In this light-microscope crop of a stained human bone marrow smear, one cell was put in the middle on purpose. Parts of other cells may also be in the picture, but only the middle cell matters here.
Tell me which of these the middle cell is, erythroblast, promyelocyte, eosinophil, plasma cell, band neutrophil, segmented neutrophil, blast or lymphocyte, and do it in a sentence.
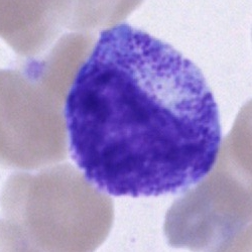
The cell of interest, located centrally, is a promyelocyte.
